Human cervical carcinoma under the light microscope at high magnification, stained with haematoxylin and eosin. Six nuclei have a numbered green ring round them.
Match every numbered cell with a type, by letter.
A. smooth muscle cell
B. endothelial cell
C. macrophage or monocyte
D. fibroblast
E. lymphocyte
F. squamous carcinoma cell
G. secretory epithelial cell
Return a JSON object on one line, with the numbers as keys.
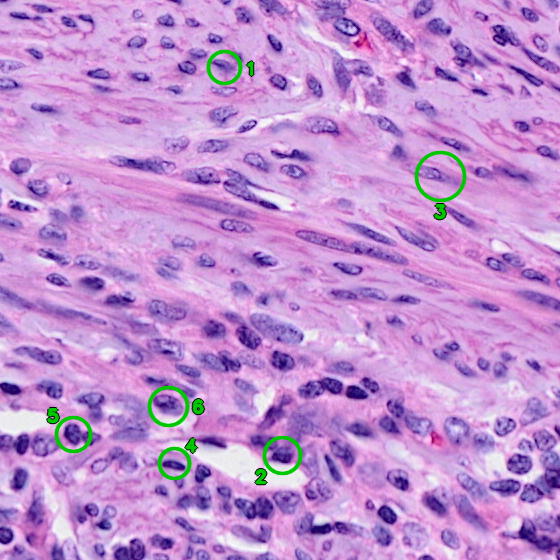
{"1": "A", "2": "E", "3": "A", "4": "E", "5": "E", "6": "E"}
